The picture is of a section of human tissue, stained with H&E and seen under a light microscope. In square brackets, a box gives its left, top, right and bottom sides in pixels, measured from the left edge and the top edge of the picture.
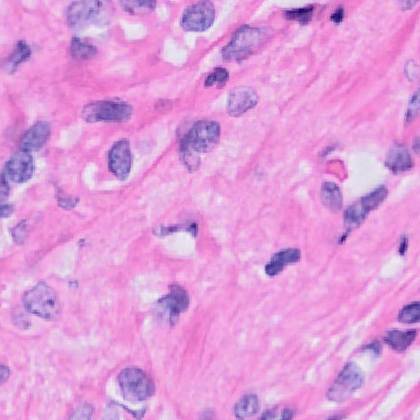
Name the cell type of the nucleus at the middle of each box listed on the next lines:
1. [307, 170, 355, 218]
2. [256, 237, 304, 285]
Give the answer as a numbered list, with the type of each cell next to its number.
1. endothelial cell
2. lymphocyte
